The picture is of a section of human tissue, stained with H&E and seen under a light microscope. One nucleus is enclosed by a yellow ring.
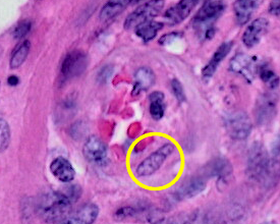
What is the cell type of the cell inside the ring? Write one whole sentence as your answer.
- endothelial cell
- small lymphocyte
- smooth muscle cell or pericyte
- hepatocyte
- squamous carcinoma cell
The correct response here is that the cell inside the ring is an endothelial cell.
